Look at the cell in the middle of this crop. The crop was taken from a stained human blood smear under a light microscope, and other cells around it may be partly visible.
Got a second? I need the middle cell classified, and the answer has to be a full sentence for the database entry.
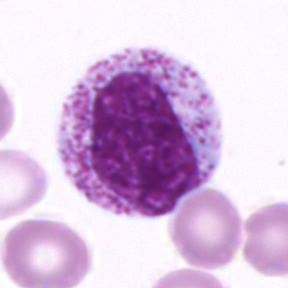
The cell marked by its central position in the crop is a myelocyte.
